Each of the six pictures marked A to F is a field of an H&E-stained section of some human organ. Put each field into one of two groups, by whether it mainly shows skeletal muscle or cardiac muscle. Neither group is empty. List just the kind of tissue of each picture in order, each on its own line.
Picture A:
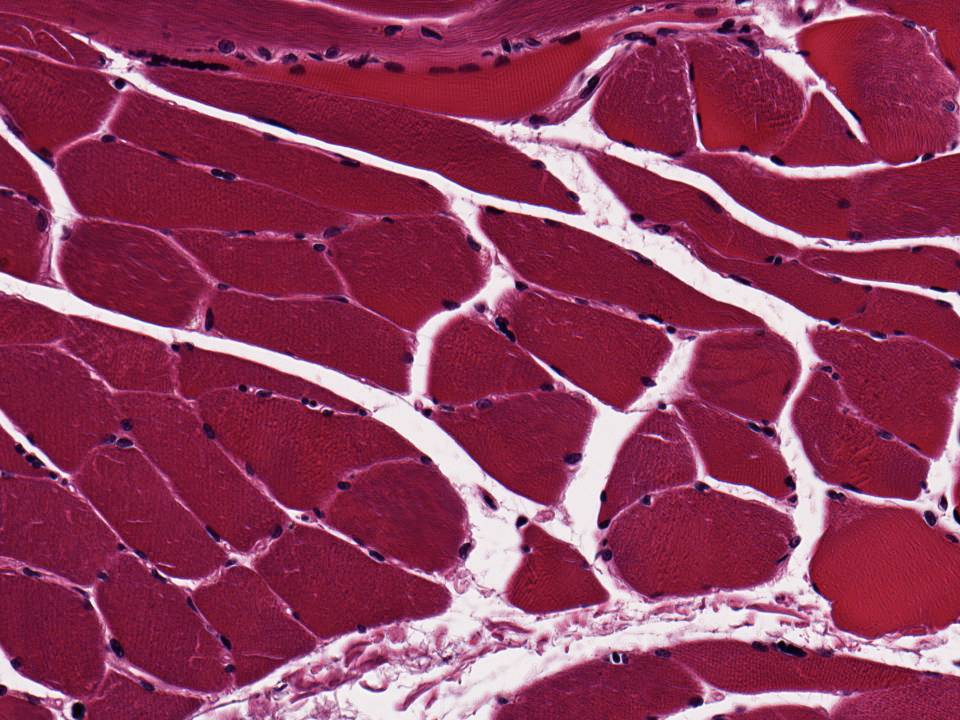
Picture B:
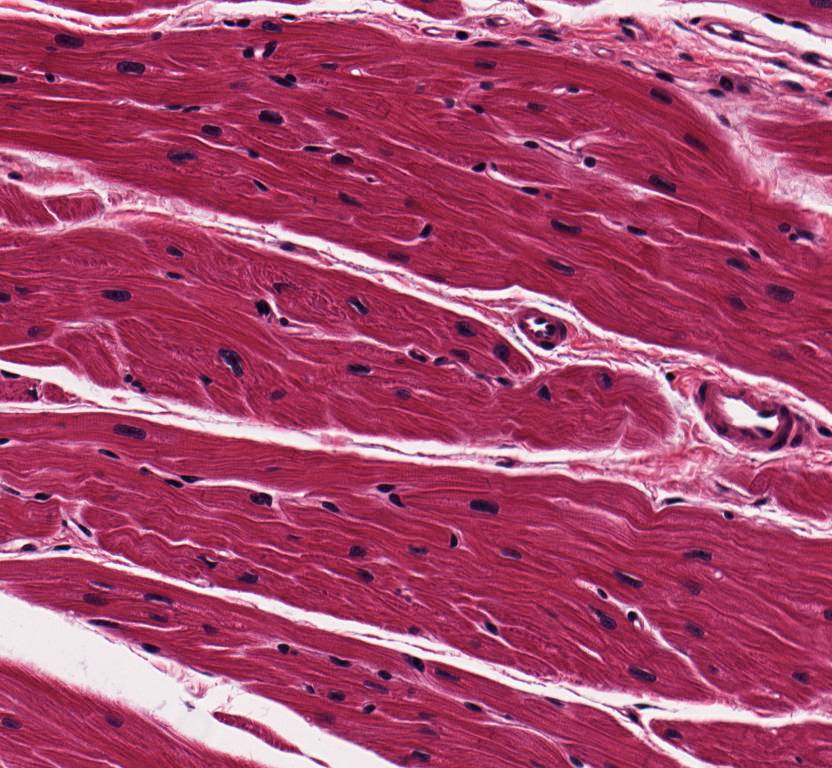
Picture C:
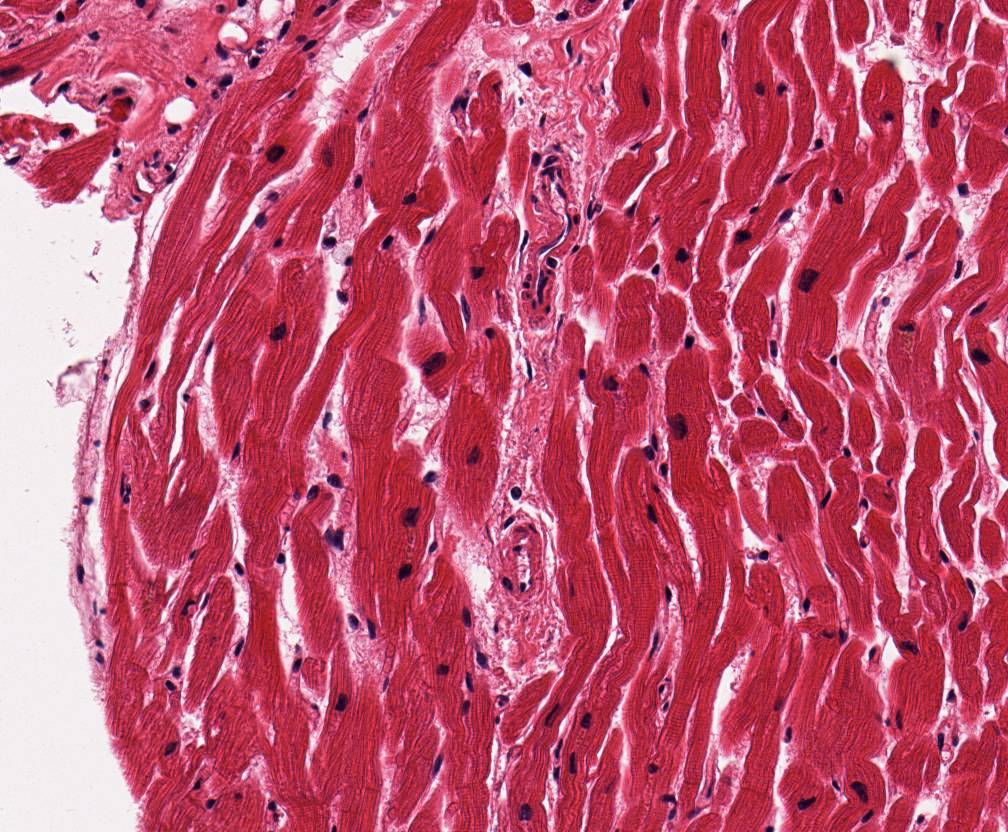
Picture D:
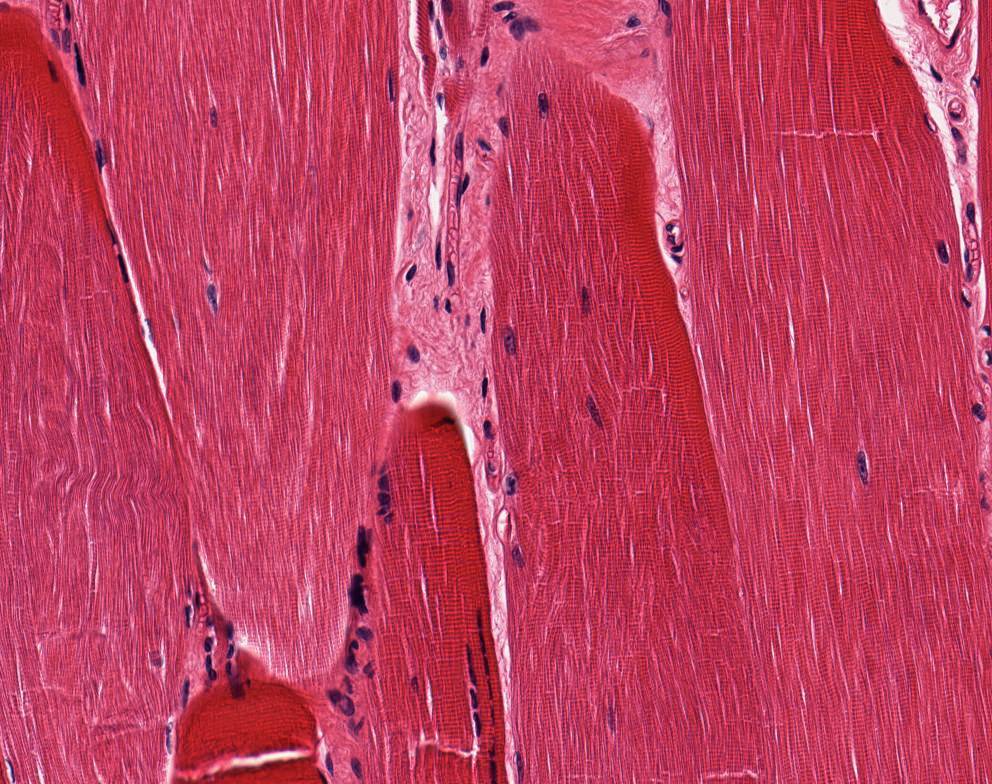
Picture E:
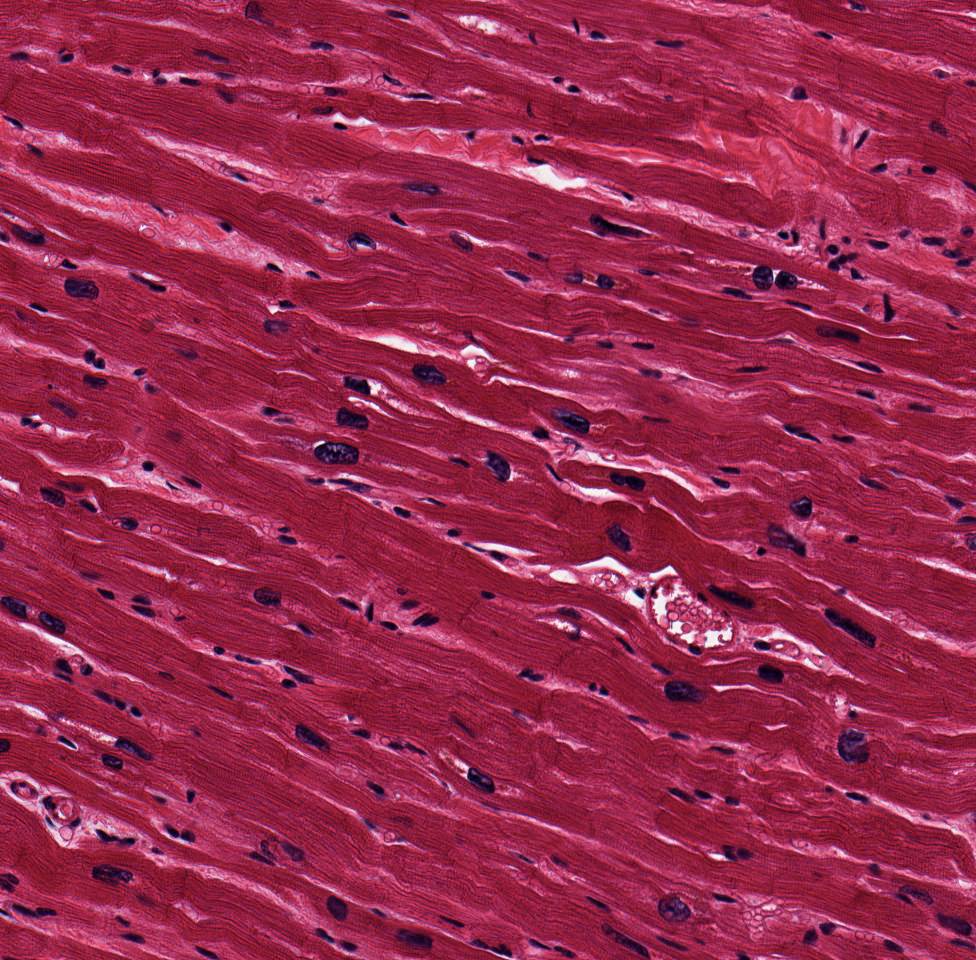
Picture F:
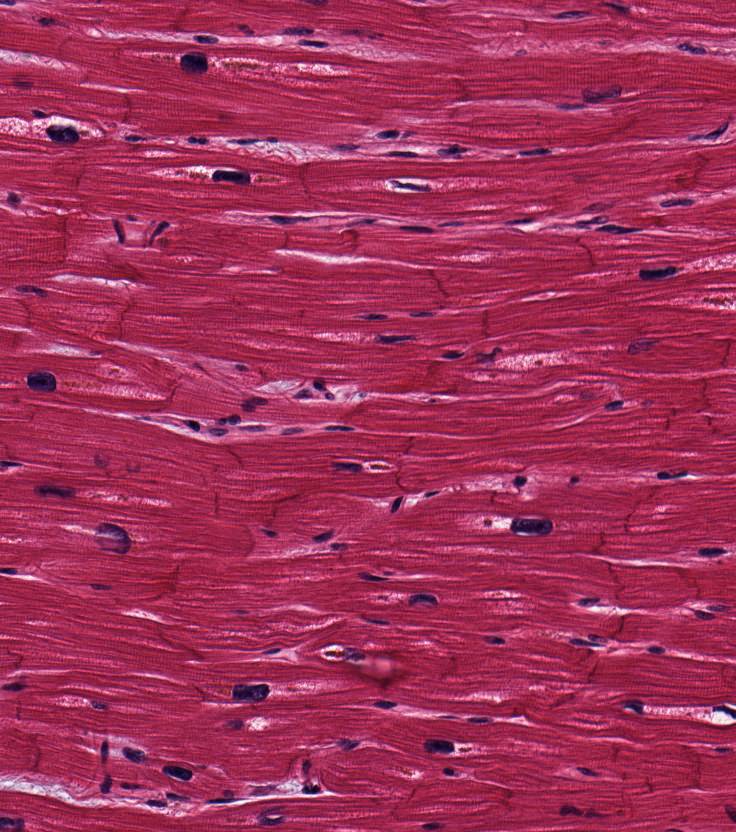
skeletal muscle
cardiac muscle
cardiac muscle
skeletal muscle
cardiac muscle
cardiac muscle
